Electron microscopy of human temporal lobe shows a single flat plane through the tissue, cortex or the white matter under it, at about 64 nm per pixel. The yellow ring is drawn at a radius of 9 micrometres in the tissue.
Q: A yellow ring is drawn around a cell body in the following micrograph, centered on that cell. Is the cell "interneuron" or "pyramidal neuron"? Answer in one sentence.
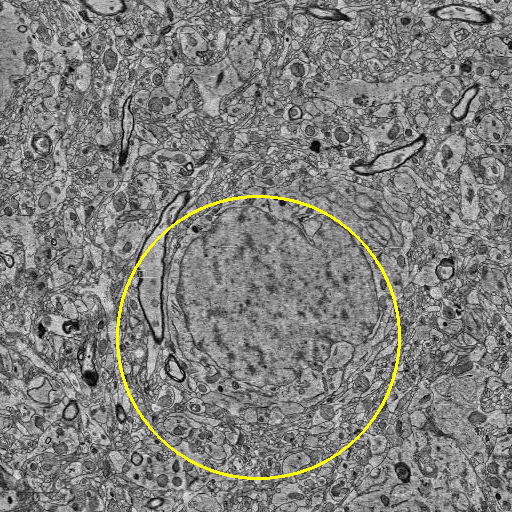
The cell in the center of the ring is an interneuron.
